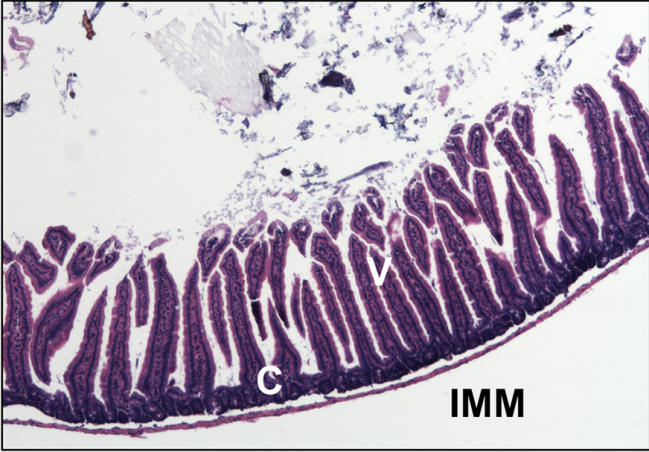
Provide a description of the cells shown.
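A section of small intestinal wall shows a dense row of tall, slender, finger-like villi projecting into the lumen, each covered by a deep purple lining epithelium around a paler core. At their bases lie the crypts, forming a dark band just above a thin pink muscular wall, while the lumen holds loose, pale debris.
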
